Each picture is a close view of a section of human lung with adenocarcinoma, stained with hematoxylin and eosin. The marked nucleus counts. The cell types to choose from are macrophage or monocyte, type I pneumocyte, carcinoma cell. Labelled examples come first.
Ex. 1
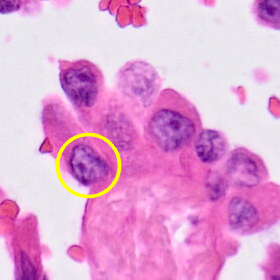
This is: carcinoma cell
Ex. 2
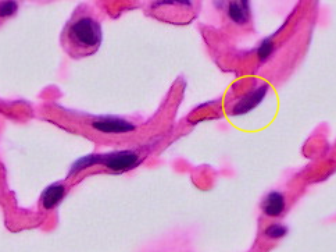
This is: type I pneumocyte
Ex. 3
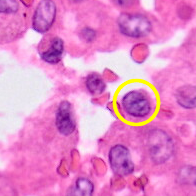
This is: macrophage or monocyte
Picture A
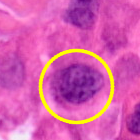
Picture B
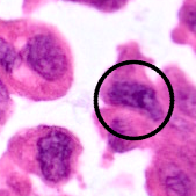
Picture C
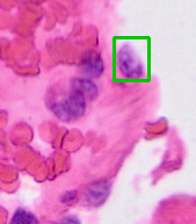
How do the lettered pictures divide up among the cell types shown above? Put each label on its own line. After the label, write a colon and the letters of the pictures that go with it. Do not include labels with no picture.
type I pneumocyte: C
carcinoma cell: A, B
